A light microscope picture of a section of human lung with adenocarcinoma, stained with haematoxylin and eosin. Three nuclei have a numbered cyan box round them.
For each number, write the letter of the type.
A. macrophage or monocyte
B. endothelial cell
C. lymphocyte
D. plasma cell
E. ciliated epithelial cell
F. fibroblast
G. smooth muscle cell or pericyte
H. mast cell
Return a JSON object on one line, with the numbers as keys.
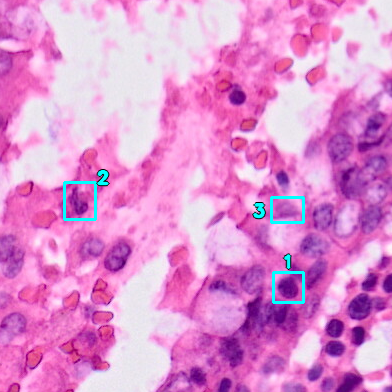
{"1": "E", "2": "A", "3": "E"}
